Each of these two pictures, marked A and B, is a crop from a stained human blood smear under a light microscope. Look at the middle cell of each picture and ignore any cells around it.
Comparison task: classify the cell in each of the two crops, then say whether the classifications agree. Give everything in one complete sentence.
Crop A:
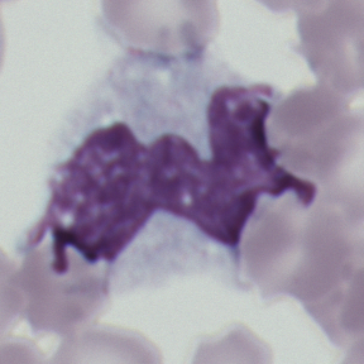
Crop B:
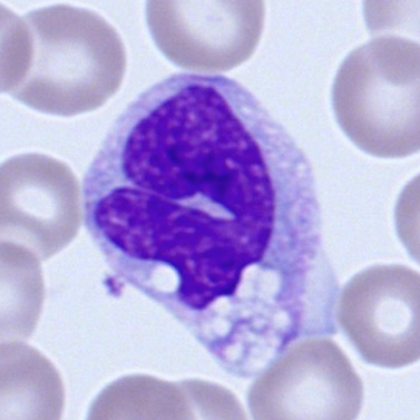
Yes, both crops have monocytes as their central cells.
